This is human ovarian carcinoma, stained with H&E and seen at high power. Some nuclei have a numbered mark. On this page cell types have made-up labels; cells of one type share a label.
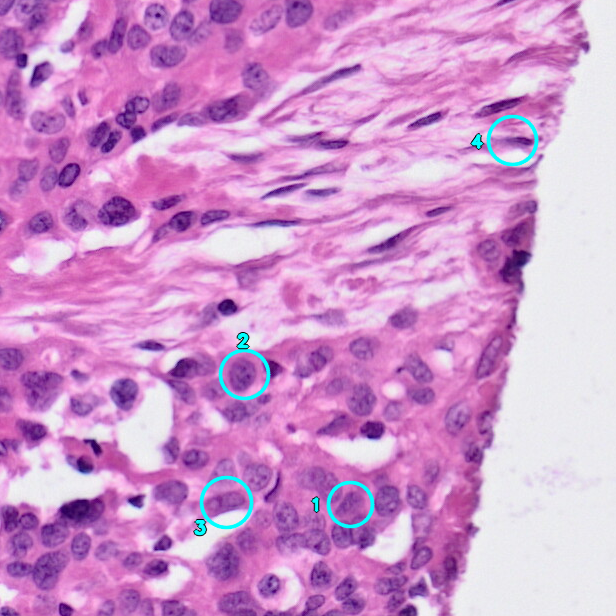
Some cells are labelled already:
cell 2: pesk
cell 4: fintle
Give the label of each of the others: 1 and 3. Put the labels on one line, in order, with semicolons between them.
pesk; pesk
